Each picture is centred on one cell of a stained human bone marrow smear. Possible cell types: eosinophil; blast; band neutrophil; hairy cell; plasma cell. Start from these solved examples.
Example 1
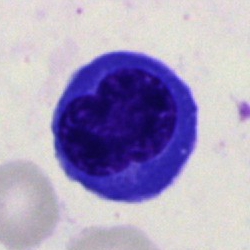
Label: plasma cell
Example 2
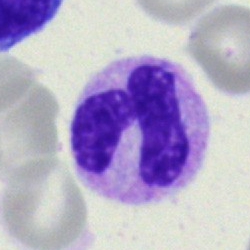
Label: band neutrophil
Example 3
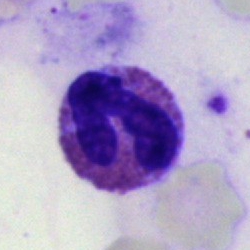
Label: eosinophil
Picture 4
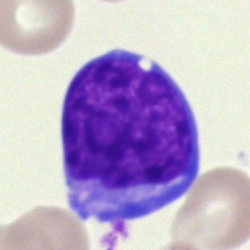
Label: blast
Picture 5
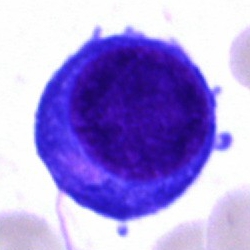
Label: plasma cell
